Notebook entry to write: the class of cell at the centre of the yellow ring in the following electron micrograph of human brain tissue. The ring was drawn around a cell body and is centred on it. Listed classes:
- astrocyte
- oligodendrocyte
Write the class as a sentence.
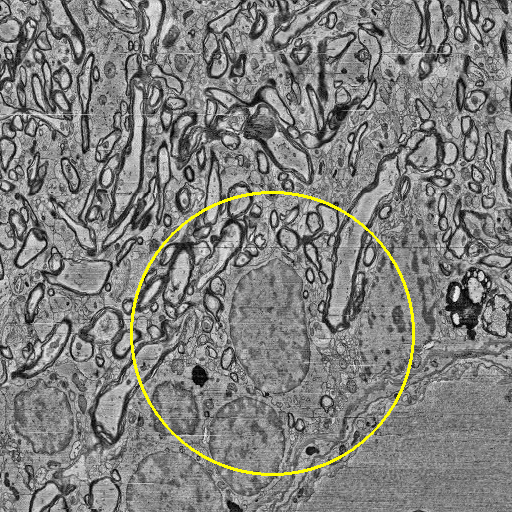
The yellow ring sits on an oligodendrocyte.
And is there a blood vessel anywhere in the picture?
Yes.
